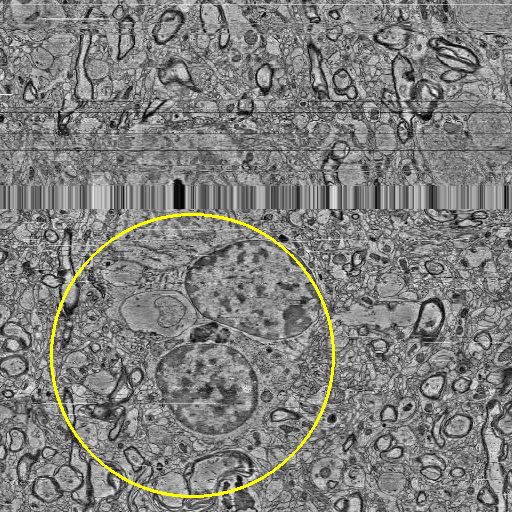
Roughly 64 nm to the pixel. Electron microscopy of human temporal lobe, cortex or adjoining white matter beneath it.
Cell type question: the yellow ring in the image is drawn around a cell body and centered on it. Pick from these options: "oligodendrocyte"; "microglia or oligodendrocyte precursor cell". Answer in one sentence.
The ringed cell at the center is an oligodendrocyte.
